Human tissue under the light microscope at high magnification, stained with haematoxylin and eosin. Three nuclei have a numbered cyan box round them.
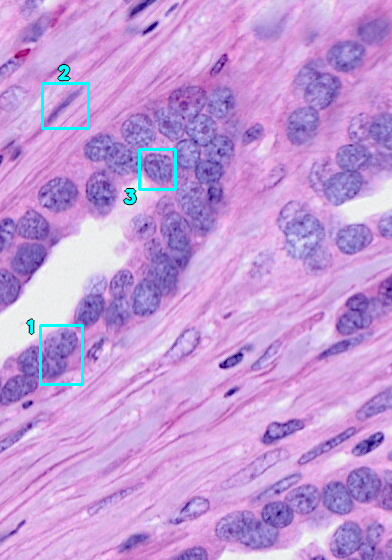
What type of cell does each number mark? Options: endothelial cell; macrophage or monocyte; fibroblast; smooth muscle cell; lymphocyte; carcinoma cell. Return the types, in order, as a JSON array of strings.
["carcinoma cell", "fibroblast", "carcinoma cell"]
